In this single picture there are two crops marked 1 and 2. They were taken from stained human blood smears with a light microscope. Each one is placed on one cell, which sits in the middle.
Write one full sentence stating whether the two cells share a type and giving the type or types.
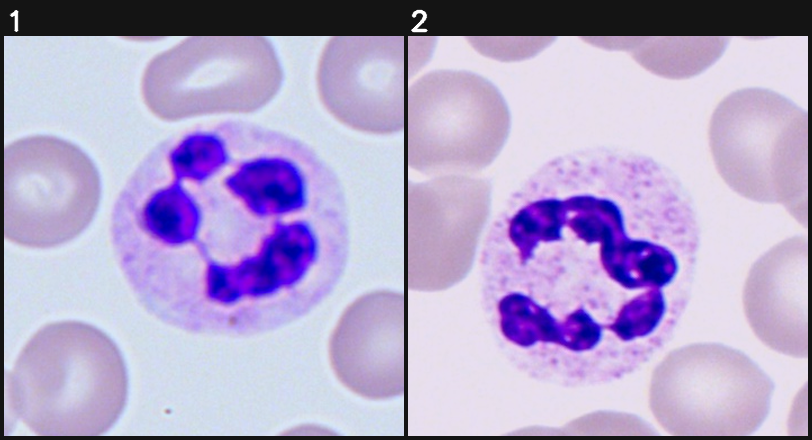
Yes, both crops show segmented neutrophils, one in each.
